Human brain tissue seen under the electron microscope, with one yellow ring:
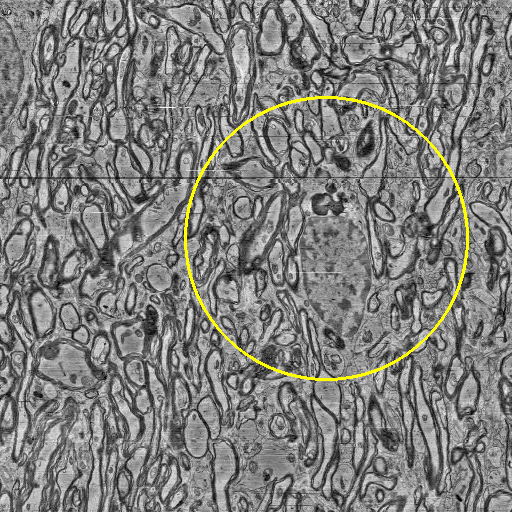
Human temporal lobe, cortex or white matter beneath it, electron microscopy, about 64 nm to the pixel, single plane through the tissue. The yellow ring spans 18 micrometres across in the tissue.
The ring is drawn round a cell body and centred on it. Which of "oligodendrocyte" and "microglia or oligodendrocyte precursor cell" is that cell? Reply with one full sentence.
The picture shows a microglial cell or oligodendrocyte precursor cell at the very centre of the yellow ring.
